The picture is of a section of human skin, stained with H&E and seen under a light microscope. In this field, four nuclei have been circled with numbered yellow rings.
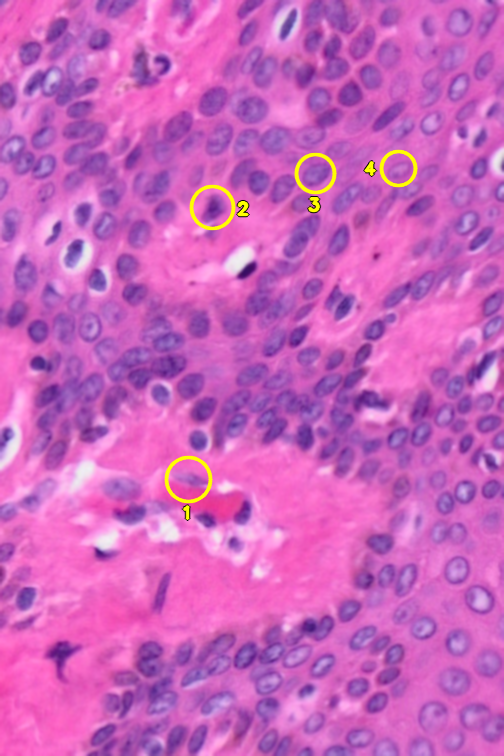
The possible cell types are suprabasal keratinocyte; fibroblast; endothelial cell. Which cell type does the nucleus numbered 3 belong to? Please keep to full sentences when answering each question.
Looking at the numbered marks, cell 3 is a suprabasal keratinocyte.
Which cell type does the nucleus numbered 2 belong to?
The cell tagged with 2 in this tissue section is a fibroblast.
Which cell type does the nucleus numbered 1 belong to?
Cell 1, among those numbered, is an endothelial cell.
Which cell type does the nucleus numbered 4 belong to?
Recognised here as a suprabasal keratinocyte is the cell numbered 4.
